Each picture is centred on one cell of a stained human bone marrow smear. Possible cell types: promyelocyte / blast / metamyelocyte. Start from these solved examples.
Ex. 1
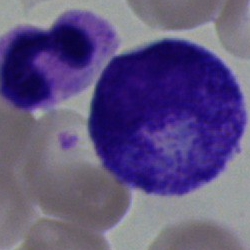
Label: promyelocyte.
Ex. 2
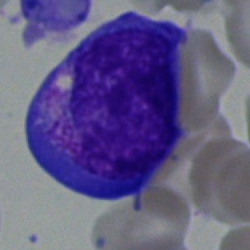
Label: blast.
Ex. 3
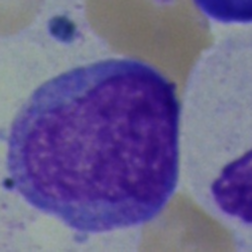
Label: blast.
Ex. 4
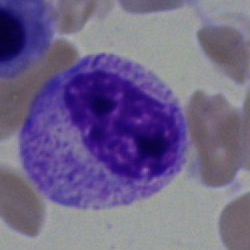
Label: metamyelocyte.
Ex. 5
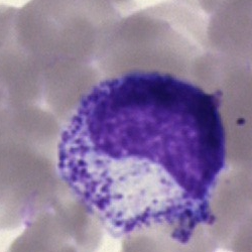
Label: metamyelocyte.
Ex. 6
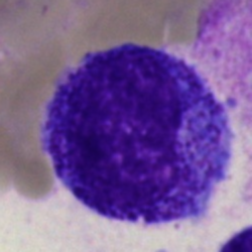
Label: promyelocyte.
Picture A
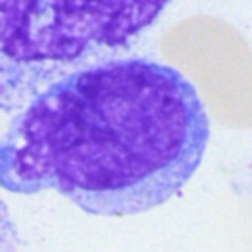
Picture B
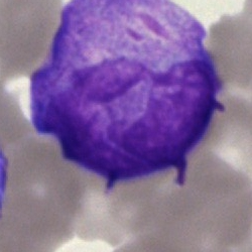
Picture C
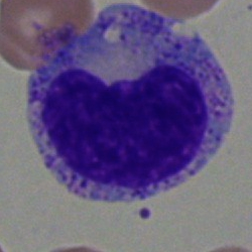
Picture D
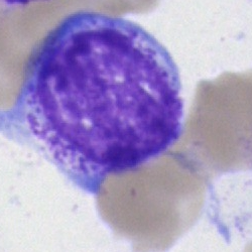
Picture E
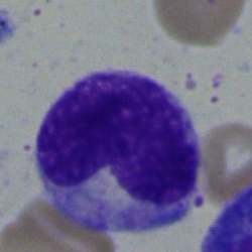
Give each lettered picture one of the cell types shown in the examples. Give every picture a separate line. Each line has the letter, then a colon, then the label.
A: blast.
B: blast.
C: metamyelocyte.
D: promyelocyte.
E: metamyelocyte.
